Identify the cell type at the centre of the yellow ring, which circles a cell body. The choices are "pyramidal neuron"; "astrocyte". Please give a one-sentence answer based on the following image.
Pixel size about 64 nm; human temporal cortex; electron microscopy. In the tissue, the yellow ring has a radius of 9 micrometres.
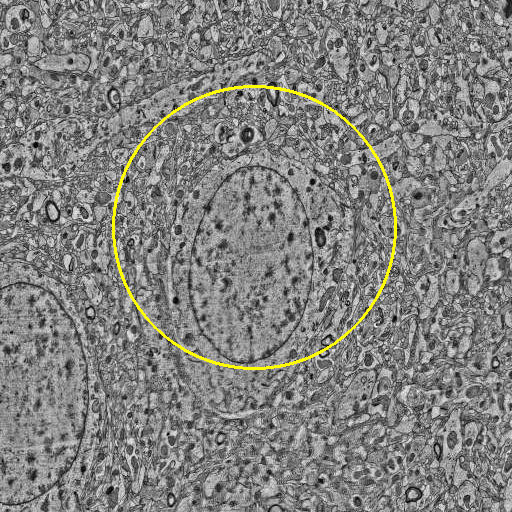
The cell marked by the ring is a pyramidal neuron.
